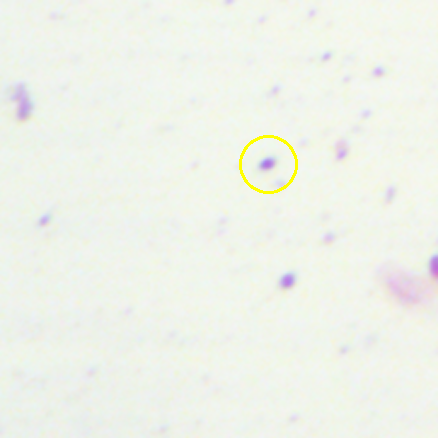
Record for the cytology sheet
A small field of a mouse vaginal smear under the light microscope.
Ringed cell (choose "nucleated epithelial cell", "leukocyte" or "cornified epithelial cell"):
leukocyte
